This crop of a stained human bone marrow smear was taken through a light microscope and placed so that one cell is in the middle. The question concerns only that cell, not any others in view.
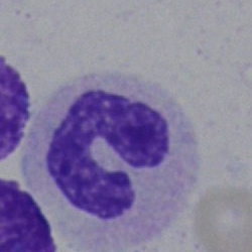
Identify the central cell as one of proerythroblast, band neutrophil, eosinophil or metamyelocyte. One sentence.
Looking at the middle of the crop, the cell there is a band neutrophil.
